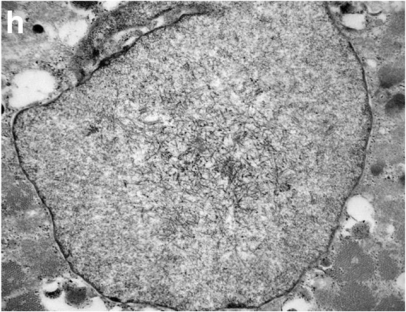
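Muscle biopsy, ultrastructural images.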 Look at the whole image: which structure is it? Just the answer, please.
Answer: Intranuclear tubulofilaments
